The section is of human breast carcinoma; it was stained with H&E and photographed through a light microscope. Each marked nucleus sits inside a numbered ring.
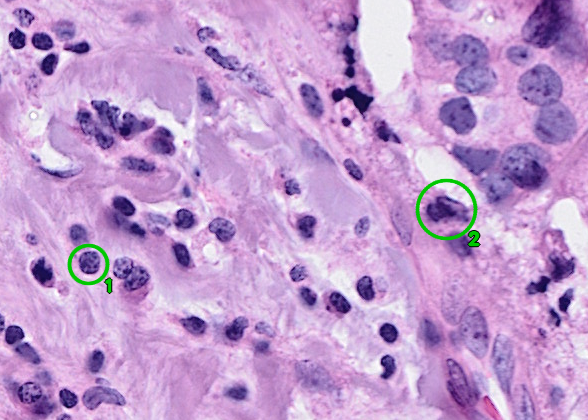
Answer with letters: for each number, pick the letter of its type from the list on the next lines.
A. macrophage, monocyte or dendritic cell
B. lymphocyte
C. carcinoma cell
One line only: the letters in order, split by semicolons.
B; C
